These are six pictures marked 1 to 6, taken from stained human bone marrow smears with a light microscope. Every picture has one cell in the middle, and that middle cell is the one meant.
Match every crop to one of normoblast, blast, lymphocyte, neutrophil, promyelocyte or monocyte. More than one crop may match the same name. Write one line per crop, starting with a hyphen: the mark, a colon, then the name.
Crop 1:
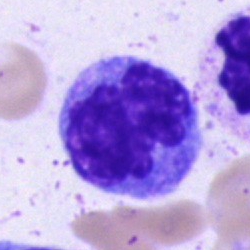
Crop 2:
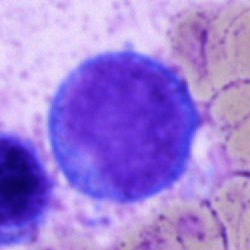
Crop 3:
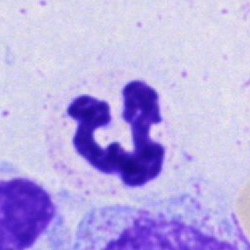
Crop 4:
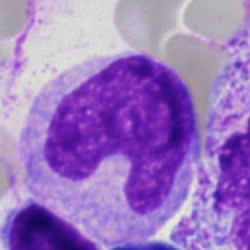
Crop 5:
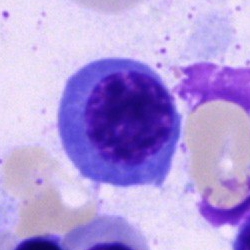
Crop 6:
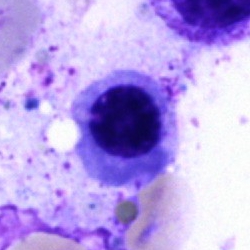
- 1: monocyte
- 2: blast
- 3: neutrophil
- 4: monocyte
- 5: normoblast
- 6: normoblast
